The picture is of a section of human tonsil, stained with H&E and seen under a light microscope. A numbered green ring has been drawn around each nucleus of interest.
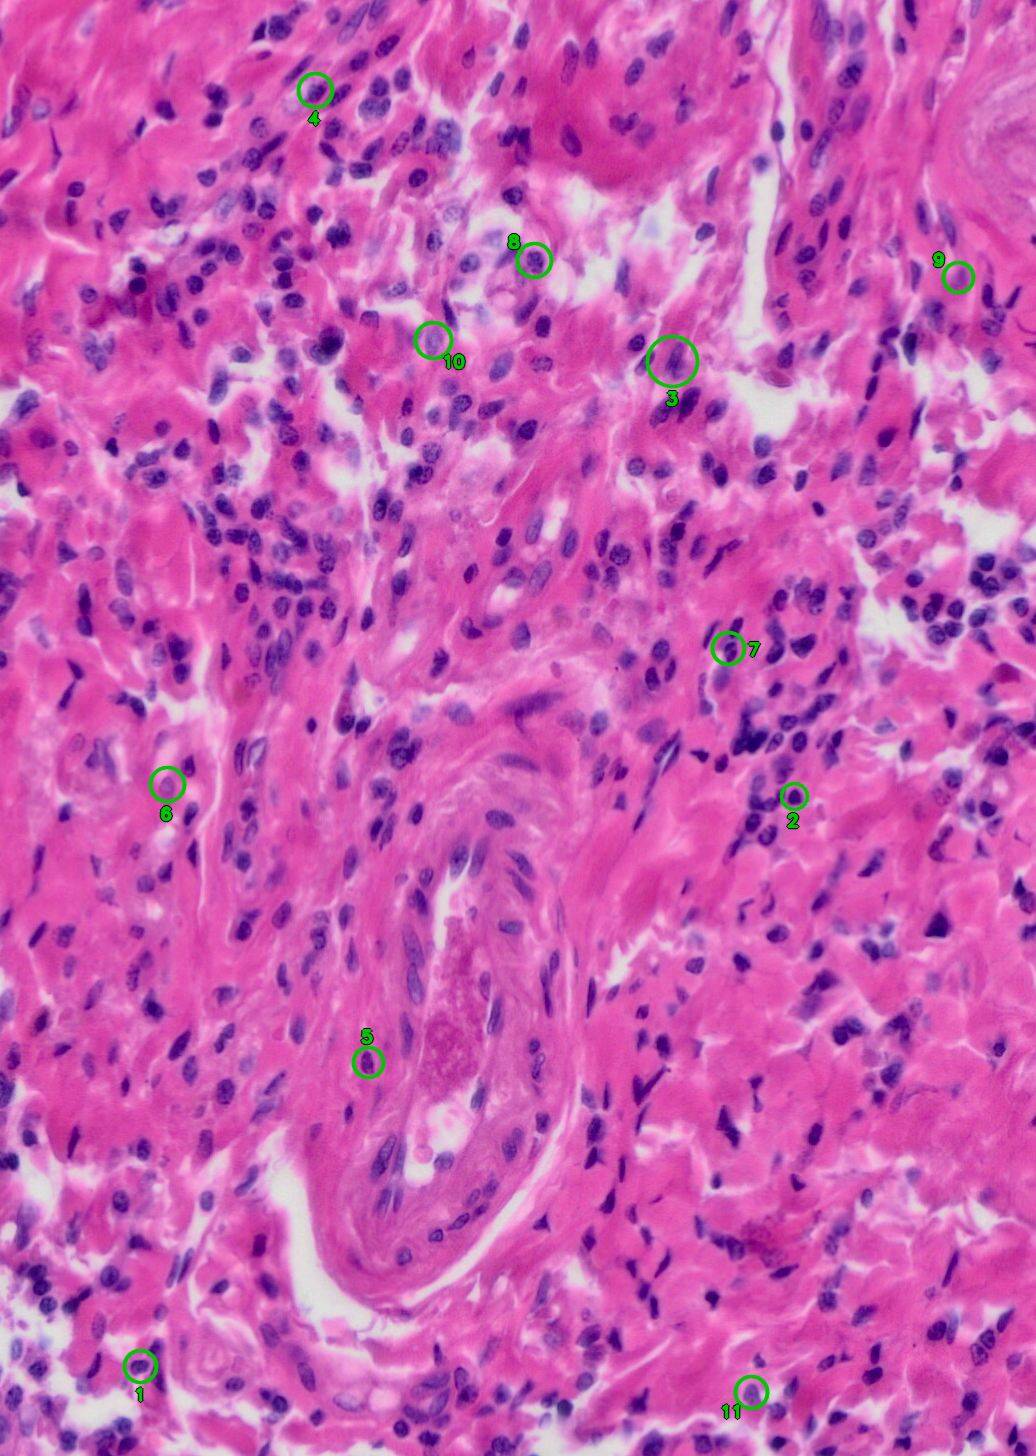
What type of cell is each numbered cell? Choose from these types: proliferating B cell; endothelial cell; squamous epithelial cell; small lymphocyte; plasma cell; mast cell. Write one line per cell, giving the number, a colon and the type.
1: mast cell
2: mast cell
3: endothelial cell
4: endothelial cell
5: mast cell
6: endothelial cell
7: mast cell
8: mast cell
9: endothelial cell
10: endothelial cell
11: mast cell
